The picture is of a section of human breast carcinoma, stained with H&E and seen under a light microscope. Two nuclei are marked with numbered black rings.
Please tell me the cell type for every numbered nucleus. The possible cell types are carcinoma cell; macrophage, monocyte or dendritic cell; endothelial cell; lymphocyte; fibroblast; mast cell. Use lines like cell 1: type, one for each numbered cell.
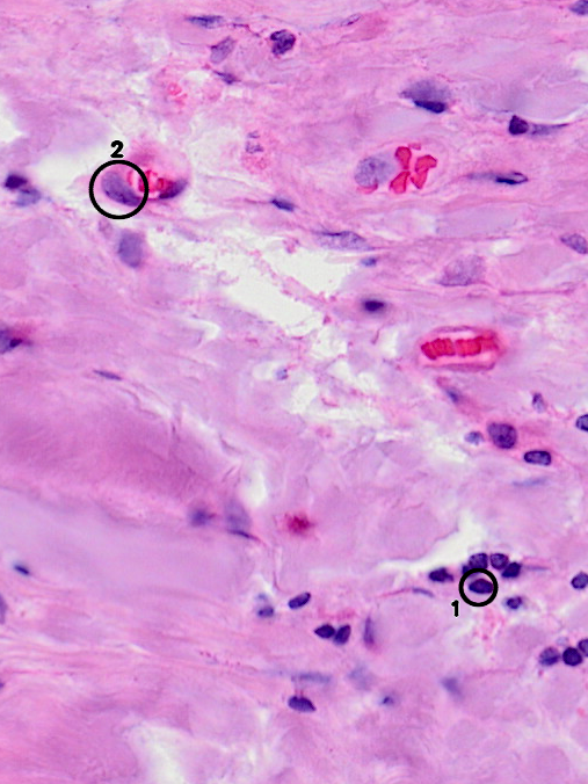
cell 1: lymphocyte
cell 2: endothelial cell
